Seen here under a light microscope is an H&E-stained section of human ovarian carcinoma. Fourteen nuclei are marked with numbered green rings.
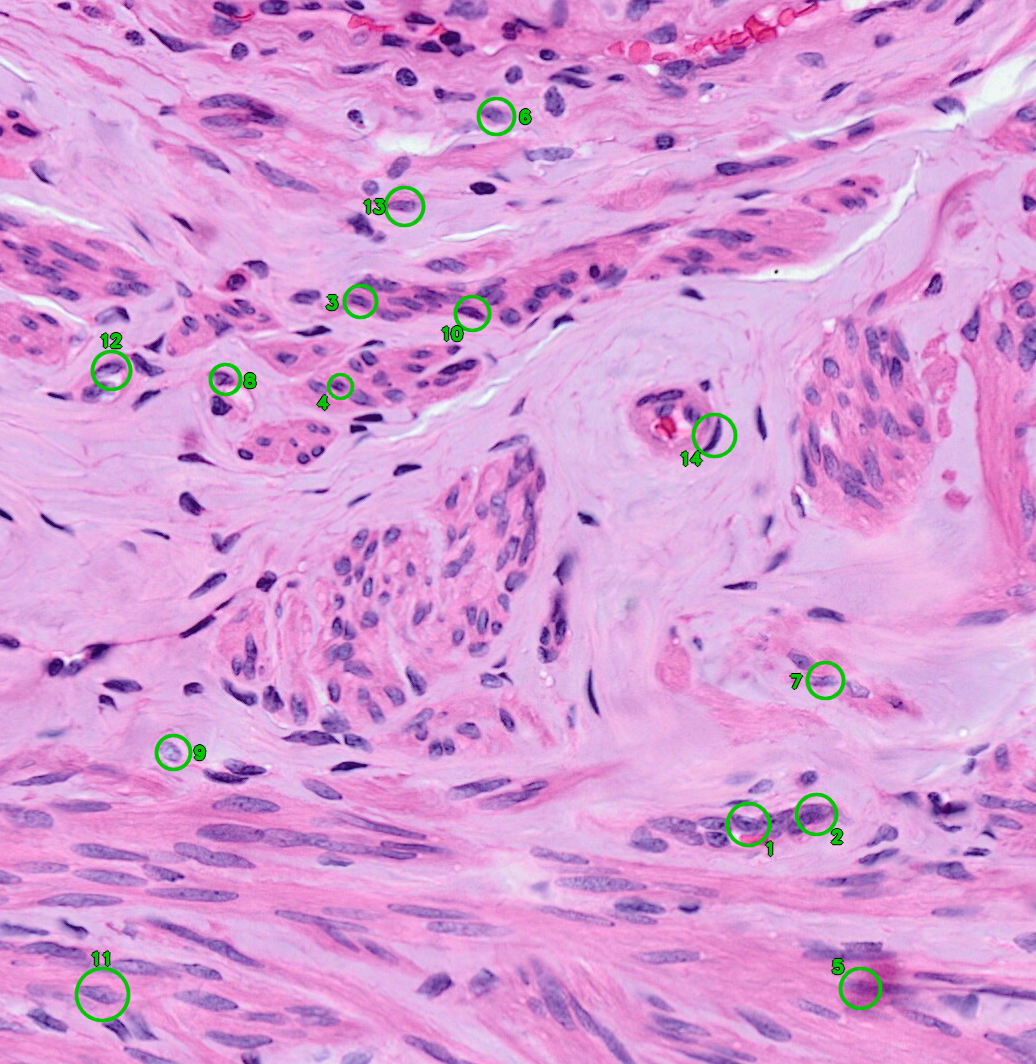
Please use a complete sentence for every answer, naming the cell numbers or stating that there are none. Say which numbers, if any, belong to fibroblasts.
To be specific, the cells numbered 9 and 14 are fibroblasts.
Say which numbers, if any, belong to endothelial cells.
The numbers 1, 2, 8 and 12 refer to cells that are endothelial cells.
